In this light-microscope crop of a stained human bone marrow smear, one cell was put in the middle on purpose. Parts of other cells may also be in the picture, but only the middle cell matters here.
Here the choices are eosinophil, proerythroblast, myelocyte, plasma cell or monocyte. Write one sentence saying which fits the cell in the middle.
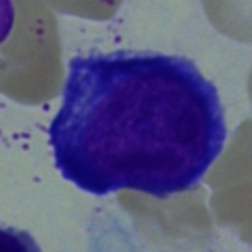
Whatever else lies nearby, the middle cell is a proerythroblast.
